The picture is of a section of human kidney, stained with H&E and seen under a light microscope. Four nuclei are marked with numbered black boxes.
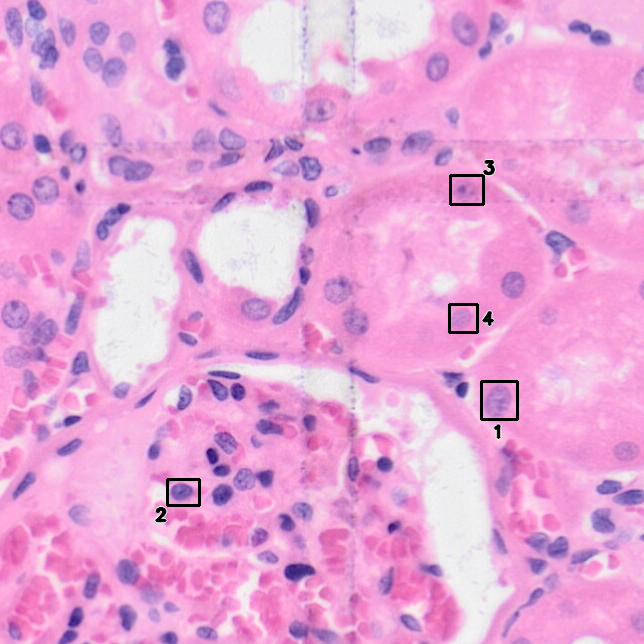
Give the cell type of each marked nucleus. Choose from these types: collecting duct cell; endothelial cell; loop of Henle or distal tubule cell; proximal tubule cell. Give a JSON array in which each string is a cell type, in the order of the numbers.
["proximal tubule cell", "endothelial cell", "proximal tubule cell", "proximal tubule cell"]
